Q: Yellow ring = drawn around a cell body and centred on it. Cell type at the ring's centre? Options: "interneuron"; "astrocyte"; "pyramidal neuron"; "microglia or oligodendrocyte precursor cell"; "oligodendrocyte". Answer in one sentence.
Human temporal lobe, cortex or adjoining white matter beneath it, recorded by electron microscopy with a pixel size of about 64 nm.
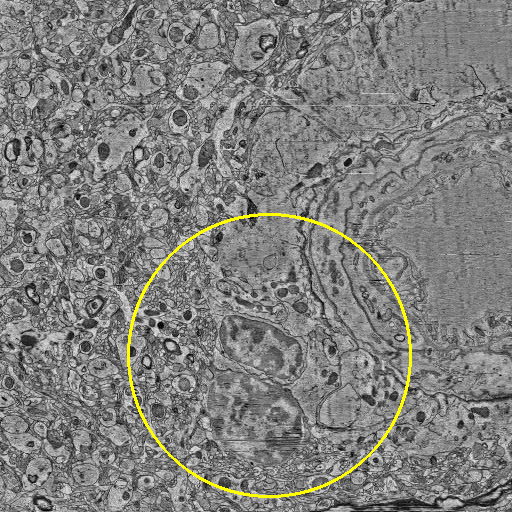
Centred in the ring is a microglial cell or oligodendrocyte precursor cell.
